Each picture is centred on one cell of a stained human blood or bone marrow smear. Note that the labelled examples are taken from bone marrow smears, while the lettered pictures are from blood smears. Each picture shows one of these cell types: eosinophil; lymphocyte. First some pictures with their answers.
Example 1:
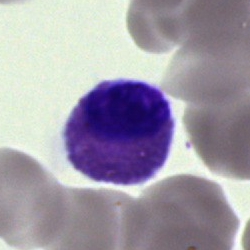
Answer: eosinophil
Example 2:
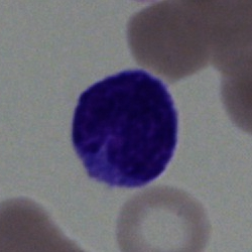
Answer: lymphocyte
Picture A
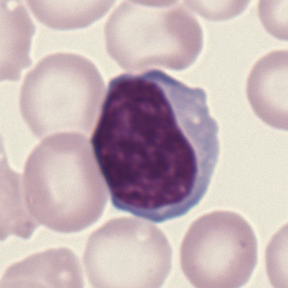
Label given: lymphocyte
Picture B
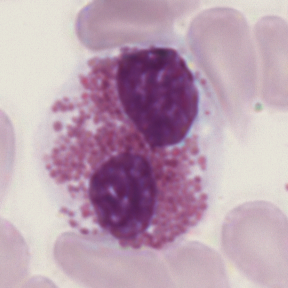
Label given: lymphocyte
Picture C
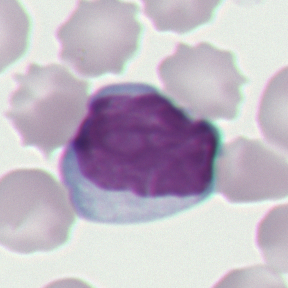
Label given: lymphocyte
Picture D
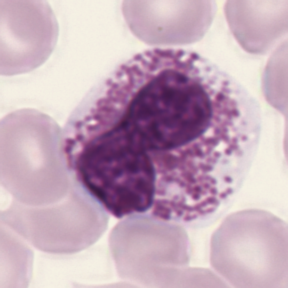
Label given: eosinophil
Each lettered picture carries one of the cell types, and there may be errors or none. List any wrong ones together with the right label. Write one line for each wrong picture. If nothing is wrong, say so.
Wrong: B (lymphocyte); correct: eosinophil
